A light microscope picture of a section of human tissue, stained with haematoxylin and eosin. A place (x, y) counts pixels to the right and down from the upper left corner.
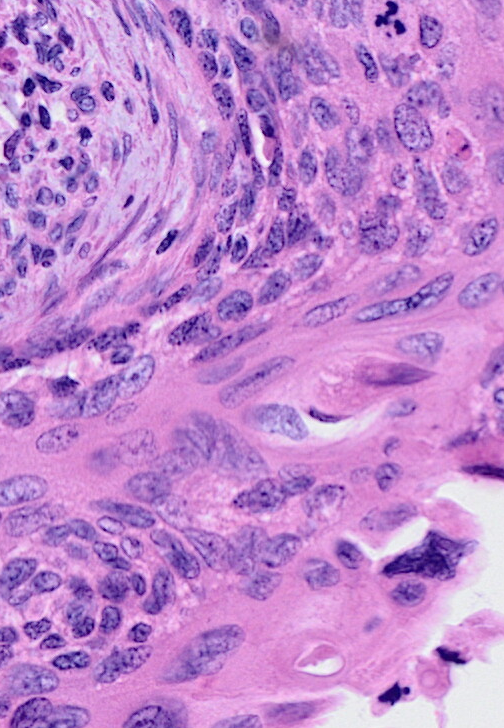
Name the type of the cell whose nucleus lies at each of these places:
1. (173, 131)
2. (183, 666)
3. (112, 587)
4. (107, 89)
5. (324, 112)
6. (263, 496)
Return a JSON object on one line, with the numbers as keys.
{"1": "fibroblast", "2": "squamous carcinoma cell", "3": "squamous carcinoma cell", "4": "lymphocyte", "5": "squamous carcinoma cell", "6": "squamous carcinoma cell"}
